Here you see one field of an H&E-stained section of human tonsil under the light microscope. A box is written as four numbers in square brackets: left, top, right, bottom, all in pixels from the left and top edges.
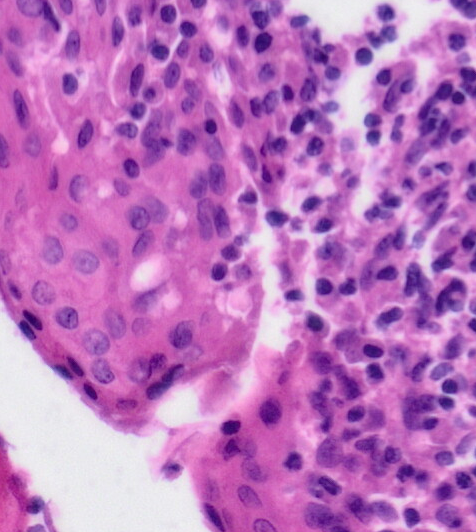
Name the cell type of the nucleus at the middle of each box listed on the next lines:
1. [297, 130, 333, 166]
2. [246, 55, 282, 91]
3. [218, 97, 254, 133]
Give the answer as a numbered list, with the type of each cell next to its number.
1. plasma cell
2. plasma cell
3. squamous epithelial cell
